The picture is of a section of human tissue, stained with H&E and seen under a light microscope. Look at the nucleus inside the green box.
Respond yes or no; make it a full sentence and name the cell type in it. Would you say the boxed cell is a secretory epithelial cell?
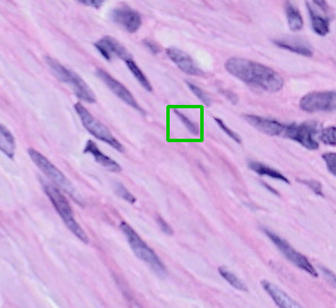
No, the boxed cell is recorded as a smooth muscle cell instead of a secretory epithelial cell.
